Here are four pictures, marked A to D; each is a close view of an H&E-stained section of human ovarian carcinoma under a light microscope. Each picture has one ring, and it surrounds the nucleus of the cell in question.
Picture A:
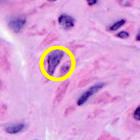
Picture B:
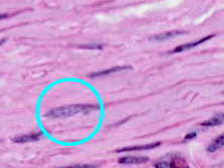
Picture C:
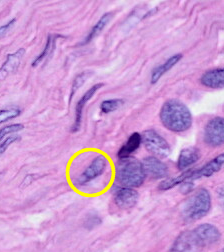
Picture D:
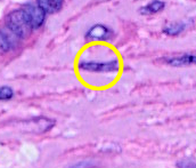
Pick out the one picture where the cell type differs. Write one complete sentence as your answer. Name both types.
Picture A differs, because its cell is a smooth muscle cell and the rest are fibroblasts.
